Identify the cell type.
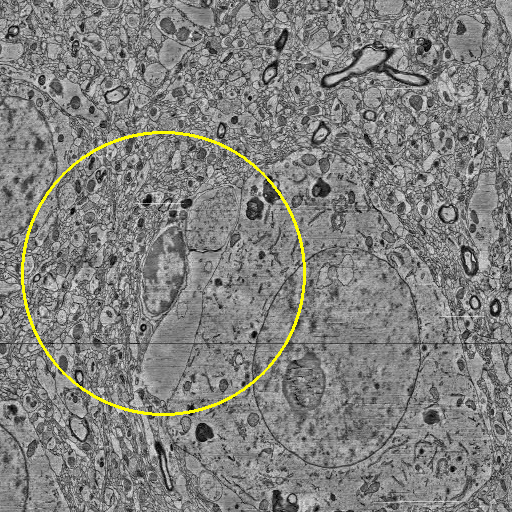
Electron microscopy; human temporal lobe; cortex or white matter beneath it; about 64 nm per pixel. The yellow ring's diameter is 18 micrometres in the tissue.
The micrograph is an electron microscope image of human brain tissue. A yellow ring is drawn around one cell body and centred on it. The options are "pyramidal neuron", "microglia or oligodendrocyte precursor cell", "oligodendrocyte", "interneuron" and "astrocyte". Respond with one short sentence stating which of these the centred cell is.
The cell body in the ring belongs to a microglial cell or oligodendrocyte precursor cell.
